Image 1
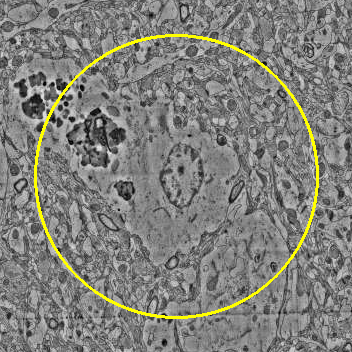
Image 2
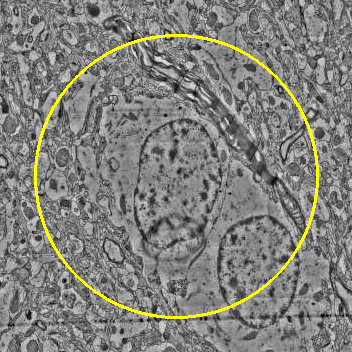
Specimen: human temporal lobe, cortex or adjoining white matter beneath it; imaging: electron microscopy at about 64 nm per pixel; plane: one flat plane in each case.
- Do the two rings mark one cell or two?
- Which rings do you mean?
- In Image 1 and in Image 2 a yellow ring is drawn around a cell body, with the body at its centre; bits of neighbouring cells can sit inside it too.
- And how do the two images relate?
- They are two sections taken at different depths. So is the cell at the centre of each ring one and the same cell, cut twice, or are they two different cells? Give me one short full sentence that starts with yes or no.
Yes, the two rings encircle a single cell, not a pair.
